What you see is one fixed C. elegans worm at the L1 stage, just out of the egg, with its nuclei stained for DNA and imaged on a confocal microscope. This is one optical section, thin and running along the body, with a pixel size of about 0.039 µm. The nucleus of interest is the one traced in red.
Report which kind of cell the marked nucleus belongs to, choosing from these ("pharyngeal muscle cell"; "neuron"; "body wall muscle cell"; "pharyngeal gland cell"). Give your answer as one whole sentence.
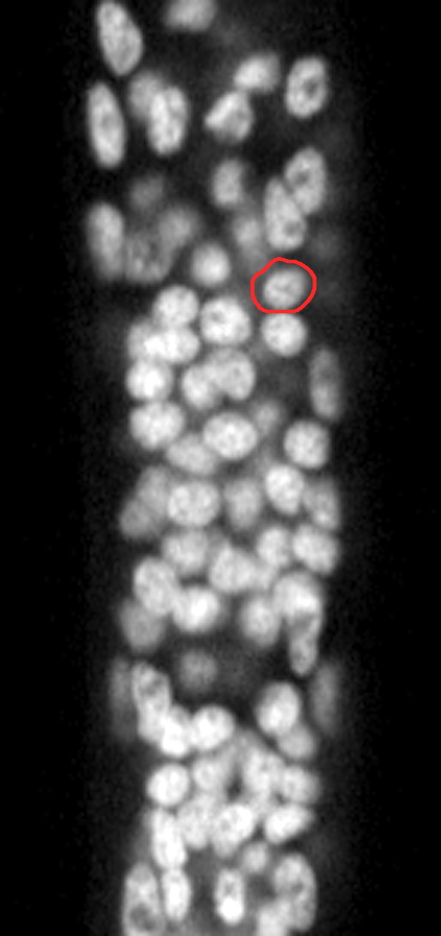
The marked nucleus is that of a neuron.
